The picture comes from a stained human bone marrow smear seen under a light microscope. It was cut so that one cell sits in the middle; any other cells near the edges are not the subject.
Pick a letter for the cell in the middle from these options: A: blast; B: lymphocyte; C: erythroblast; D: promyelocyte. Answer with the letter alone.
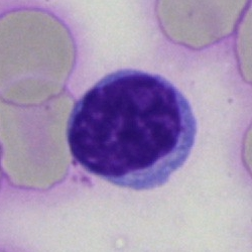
B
